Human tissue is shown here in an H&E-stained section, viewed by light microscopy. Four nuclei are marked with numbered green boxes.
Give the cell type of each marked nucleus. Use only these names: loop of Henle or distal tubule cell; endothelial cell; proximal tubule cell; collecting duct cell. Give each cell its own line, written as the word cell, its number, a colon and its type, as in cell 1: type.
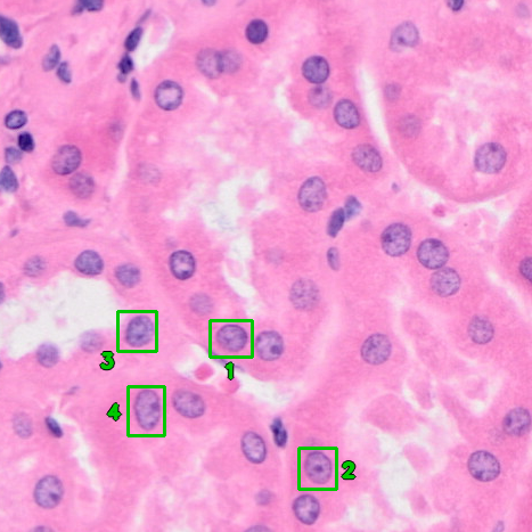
cell 1: proximal tubule cell
cell 2: proximal tubule cell
cell 3: loop of Henle or distal tubule cell
cell 4: proximal tubule cell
